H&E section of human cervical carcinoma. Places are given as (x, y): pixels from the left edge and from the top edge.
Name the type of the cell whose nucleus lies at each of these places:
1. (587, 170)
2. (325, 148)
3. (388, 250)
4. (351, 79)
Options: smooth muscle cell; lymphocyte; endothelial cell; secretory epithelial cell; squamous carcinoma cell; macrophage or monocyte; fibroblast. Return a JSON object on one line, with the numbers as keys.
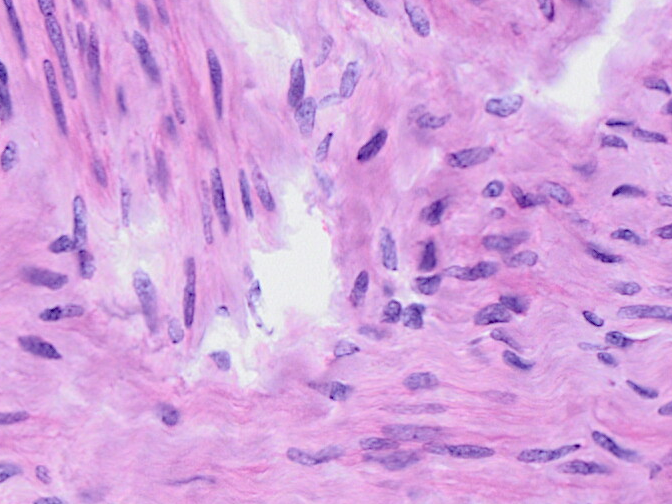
{"1": "smooth muscle cell", "2": "fibroblast", "3": "fibroblast", "4": "fibroblast"}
